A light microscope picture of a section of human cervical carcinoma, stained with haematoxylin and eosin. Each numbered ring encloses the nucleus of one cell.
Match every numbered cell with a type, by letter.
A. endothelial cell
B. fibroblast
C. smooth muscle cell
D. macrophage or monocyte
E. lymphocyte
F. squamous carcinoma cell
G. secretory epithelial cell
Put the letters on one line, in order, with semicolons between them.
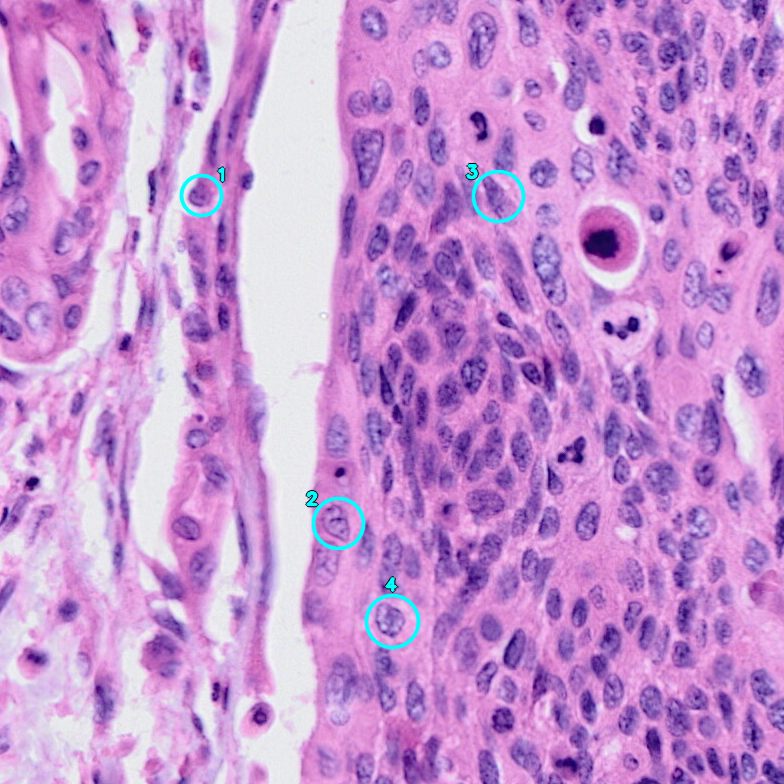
D; F; F; F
